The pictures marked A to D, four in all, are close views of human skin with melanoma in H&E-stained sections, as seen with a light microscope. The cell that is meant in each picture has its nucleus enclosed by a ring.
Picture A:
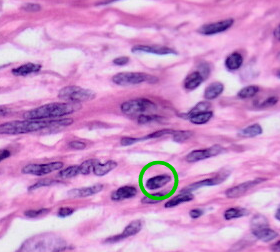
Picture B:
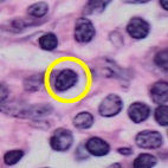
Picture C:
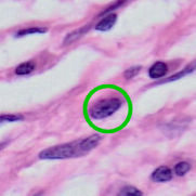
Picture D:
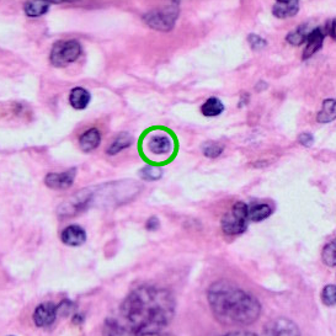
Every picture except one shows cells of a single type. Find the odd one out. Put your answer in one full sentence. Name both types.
The others show lymphocytes, but picture C shows a plasma cell.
